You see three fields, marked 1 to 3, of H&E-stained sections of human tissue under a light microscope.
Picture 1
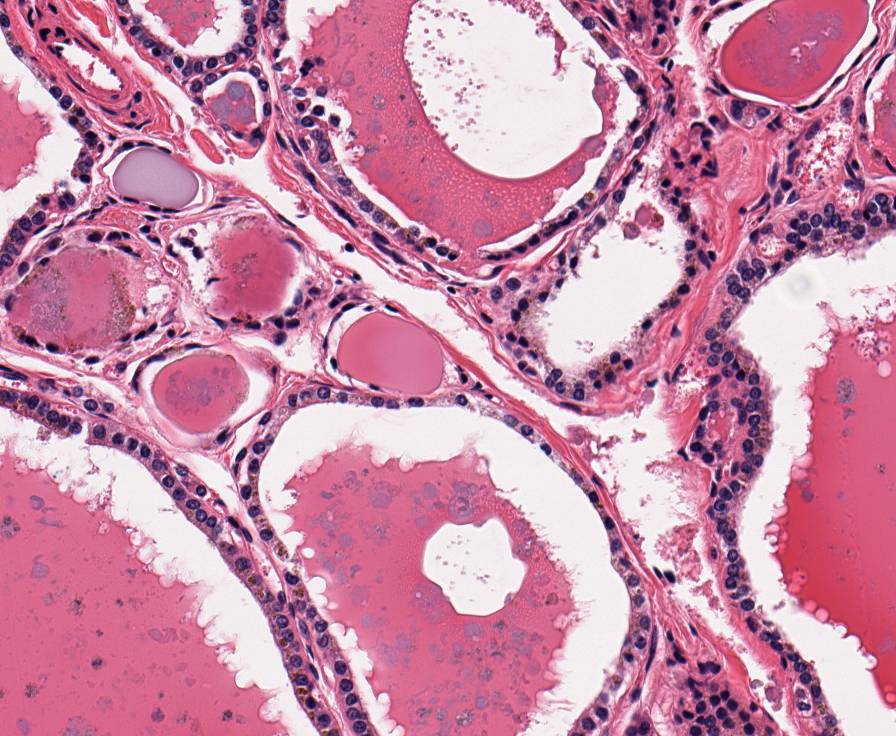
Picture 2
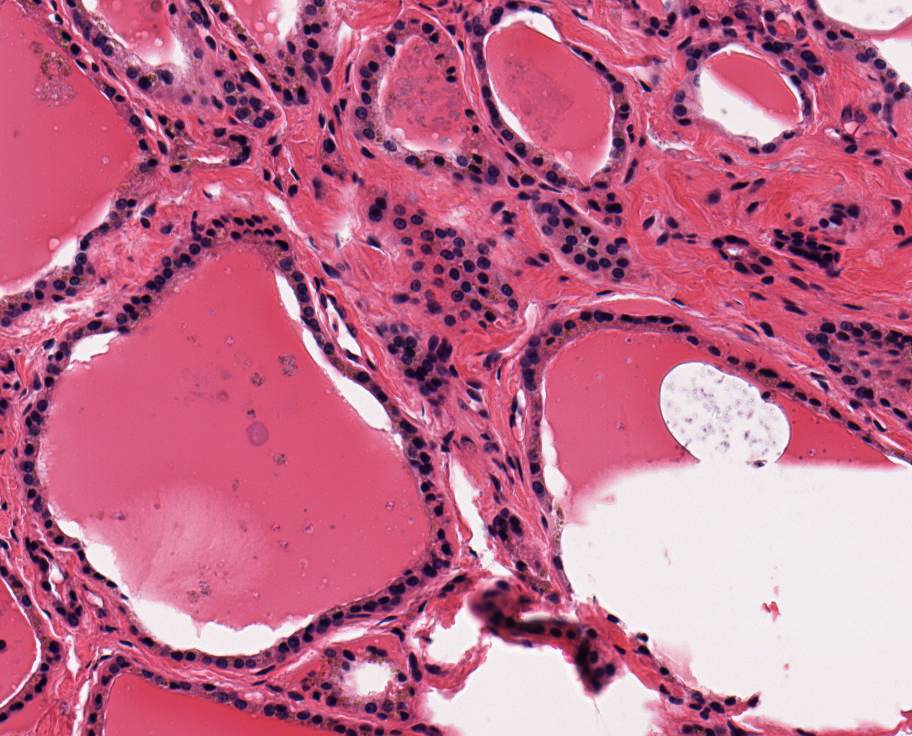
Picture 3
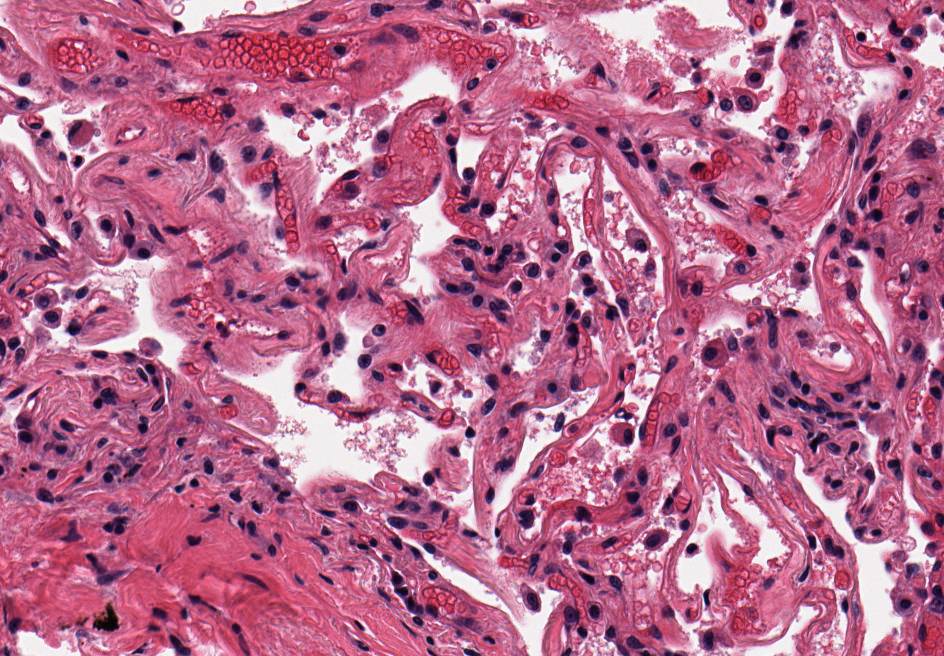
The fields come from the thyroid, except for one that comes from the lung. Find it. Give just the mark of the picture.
3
